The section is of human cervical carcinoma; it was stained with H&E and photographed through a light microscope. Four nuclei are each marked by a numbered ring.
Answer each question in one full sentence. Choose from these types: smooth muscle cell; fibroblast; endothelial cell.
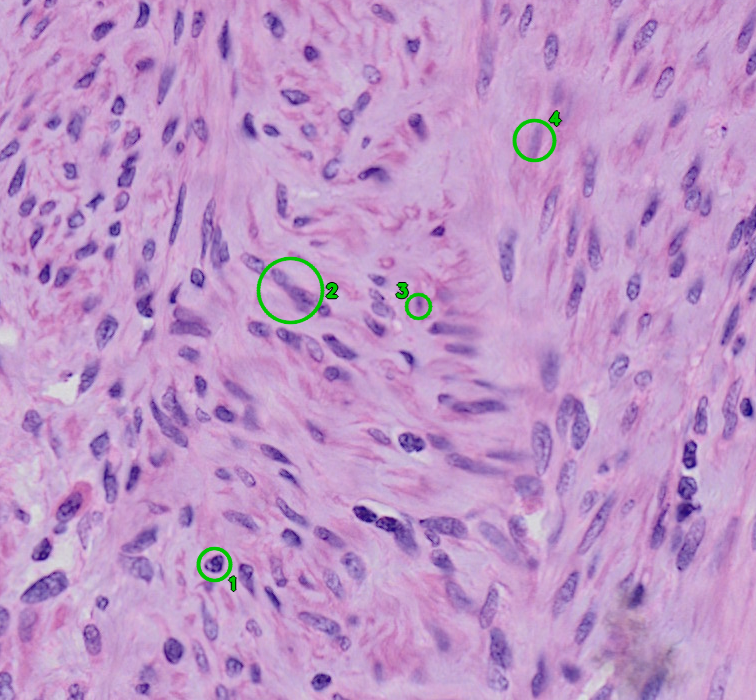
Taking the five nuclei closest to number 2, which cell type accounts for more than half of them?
The majority of the five nuclei closest to number 2 belong to smooth muscle cells.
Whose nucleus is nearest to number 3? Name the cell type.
Closest to number 3 lies the nucleus of a smooth muscle cell.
